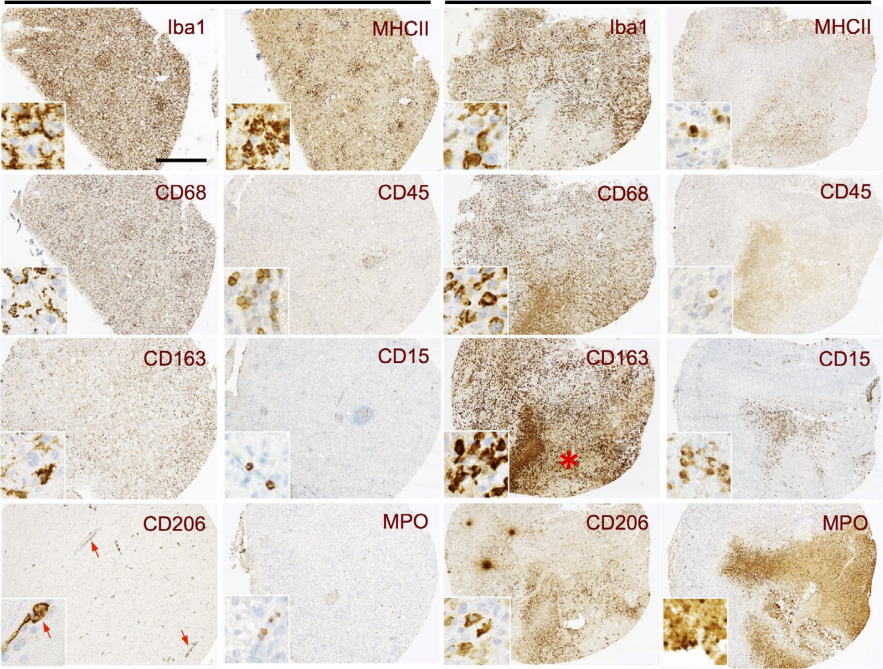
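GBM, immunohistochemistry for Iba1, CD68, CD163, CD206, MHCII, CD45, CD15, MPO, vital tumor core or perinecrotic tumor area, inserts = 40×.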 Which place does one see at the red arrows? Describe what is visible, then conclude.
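Perivascular. The red arrows point to narrow elongated stained structures running through otherwise faintly stained tissue. In the inset a strongly brown cell lies along an elongated tubular profile.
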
